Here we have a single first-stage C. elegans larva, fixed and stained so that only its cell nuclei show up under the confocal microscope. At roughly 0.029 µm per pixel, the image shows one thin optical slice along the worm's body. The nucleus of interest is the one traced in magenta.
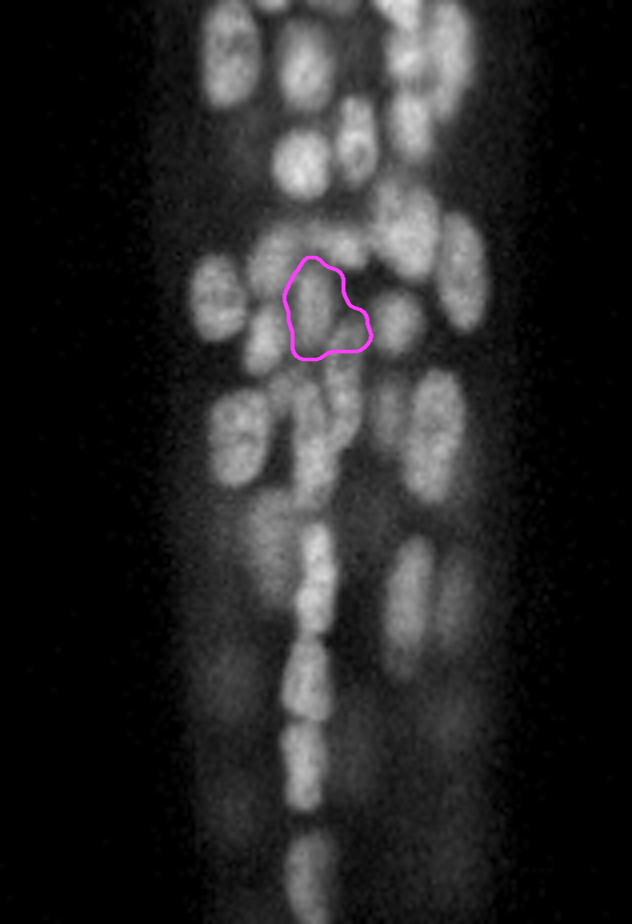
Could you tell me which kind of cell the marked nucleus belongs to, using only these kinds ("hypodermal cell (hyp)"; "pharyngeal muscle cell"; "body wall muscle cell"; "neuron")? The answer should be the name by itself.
neuron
